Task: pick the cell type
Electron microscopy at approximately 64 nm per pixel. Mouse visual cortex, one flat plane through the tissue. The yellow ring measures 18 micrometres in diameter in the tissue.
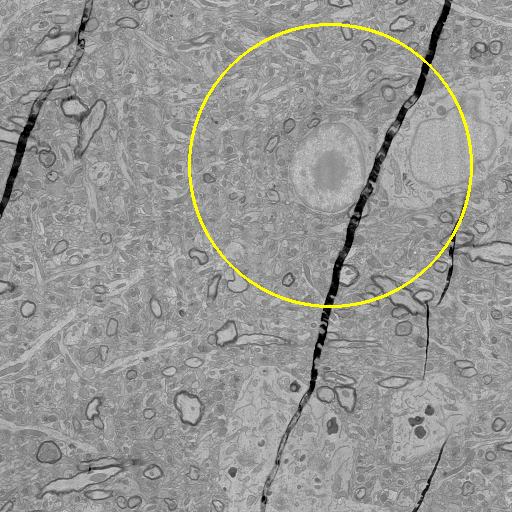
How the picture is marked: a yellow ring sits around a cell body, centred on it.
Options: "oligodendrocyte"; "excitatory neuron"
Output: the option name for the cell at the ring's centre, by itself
oligodendrocyte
